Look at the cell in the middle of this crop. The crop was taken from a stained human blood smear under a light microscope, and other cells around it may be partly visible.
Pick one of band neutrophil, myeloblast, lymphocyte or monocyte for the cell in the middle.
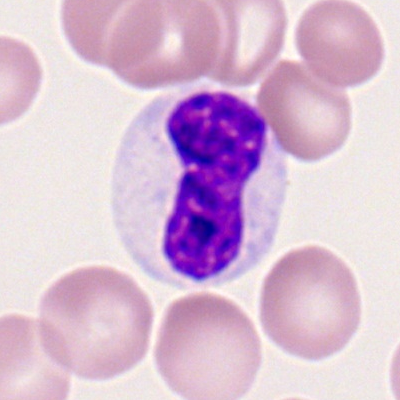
band neutrophil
